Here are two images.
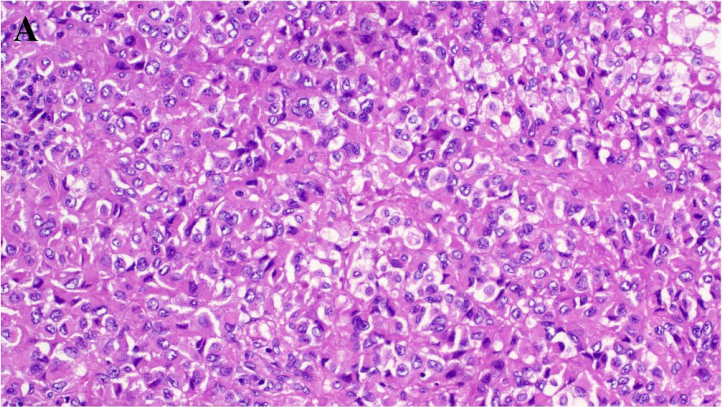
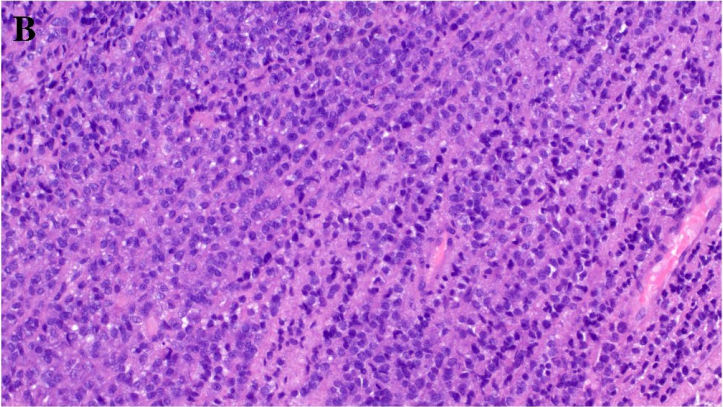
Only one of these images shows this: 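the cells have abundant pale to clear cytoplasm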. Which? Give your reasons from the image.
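Second image: small crowded cells with dark nuclei and little cytoplasm. First image: large cells with ample pale pink to clear cytoplasm.
Conclusion: the first image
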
